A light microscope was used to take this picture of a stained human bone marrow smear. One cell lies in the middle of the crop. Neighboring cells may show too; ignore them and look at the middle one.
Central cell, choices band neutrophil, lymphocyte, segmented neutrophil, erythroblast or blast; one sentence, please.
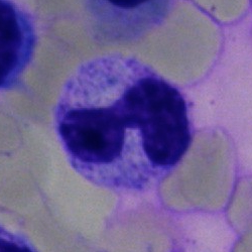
Whatever else lies nearby, the middle cell is a band neutrophil.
